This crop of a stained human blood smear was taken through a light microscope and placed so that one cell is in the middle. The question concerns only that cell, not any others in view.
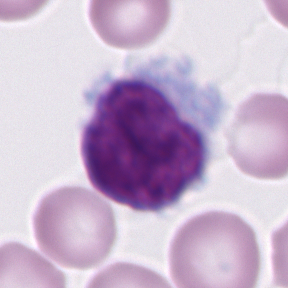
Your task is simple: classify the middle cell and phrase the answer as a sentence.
The cell centred in this crop is categorized as a hairy cell.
